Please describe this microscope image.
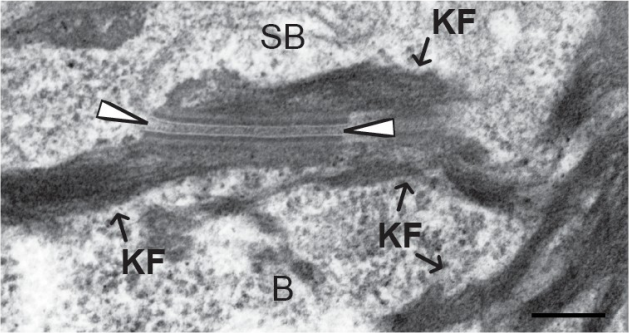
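Junction between a basal and a suprabasal keratinocyte, seen at high magnification. A long, straight desmosome runs across the field, its two membranes parallel and separated by a pale gap split by a thin dark midline. Dense plaques line the cytoplasmic face of each membrane. Thick dark bundles of keratin filaments sweep toward and along the plaques from both cells. The surrounding cytoplasm is finely granular with scattered ribosome-like particles.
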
